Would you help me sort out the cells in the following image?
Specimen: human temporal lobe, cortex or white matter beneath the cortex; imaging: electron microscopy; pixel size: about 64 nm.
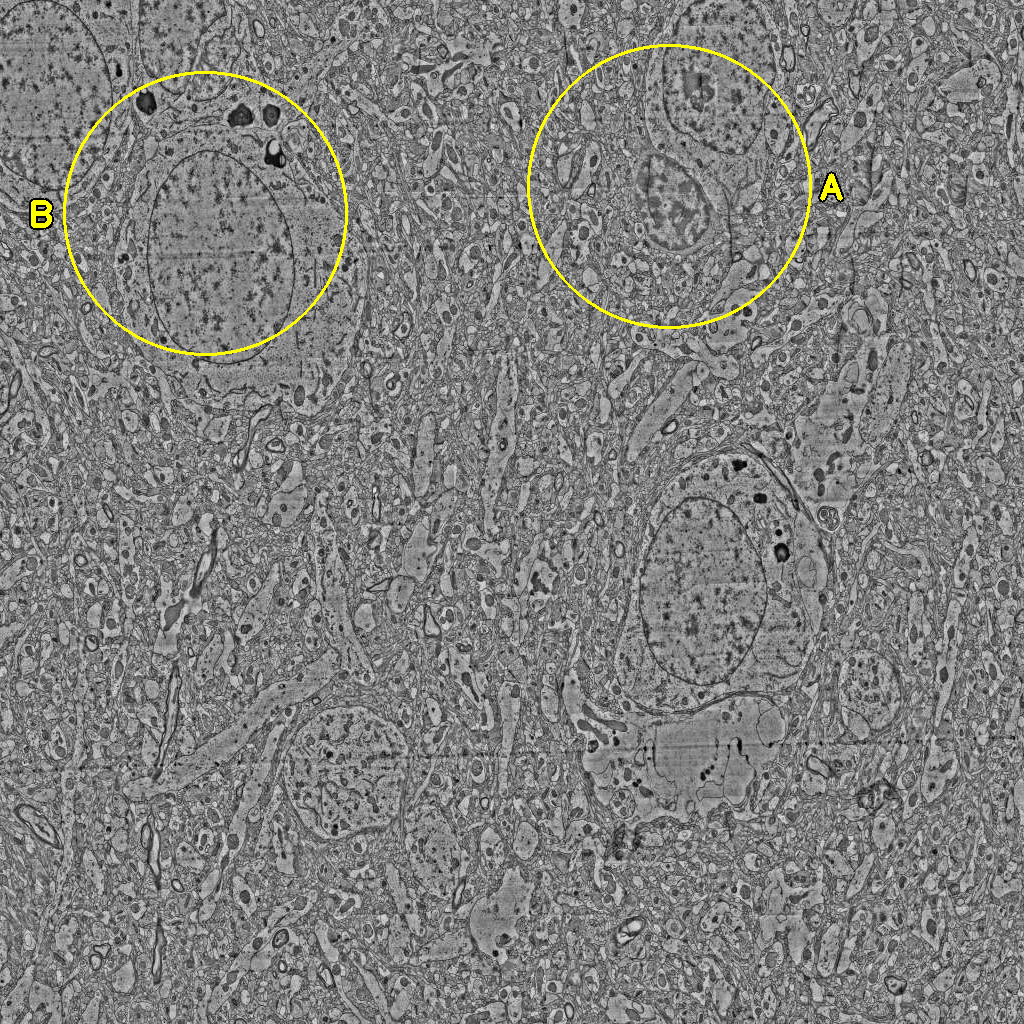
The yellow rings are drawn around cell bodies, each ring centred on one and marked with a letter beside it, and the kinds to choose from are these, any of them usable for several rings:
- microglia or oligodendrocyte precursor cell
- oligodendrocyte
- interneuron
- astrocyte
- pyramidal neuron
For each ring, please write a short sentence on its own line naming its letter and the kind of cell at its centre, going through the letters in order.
Ring A is centred on the cell body of an oligodendrocyte.
Ring B is centred on the cell body of a pyramidal neuron.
